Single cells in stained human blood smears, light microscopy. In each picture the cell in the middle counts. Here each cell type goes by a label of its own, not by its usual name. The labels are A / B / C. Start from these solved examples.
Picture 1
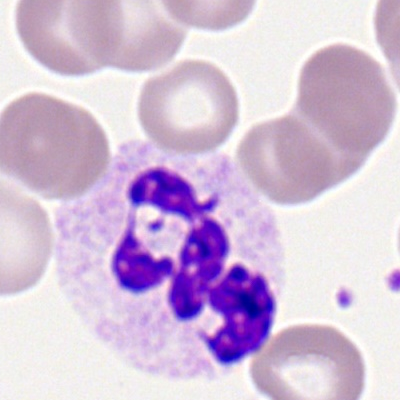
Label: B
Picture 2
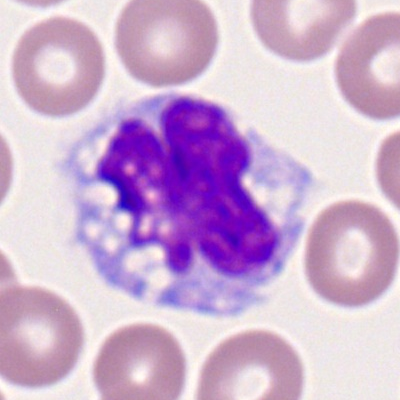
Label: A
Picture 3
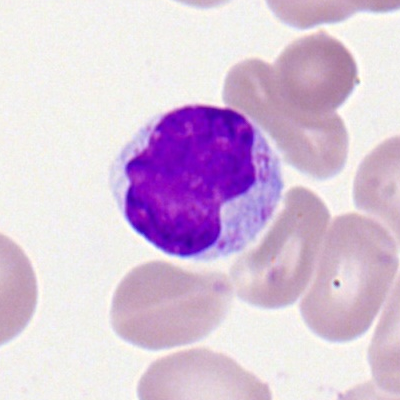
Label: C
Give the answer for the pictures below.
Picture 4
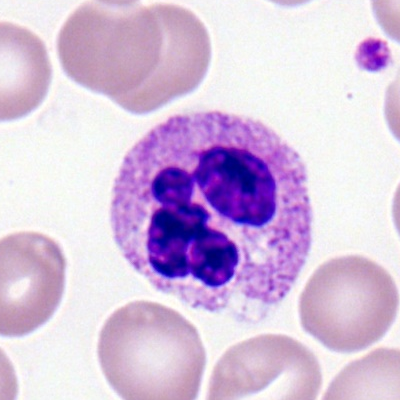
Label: B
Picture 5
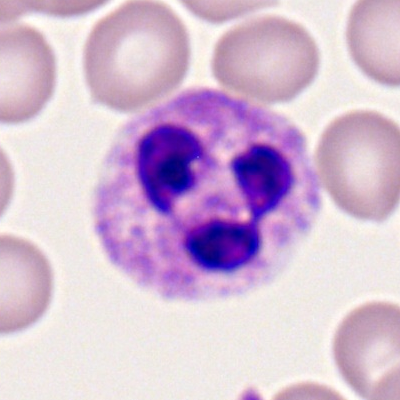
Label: B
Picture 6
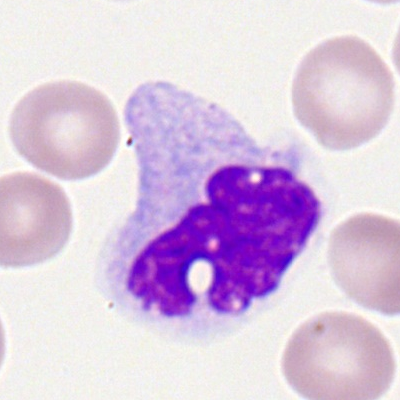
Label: A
